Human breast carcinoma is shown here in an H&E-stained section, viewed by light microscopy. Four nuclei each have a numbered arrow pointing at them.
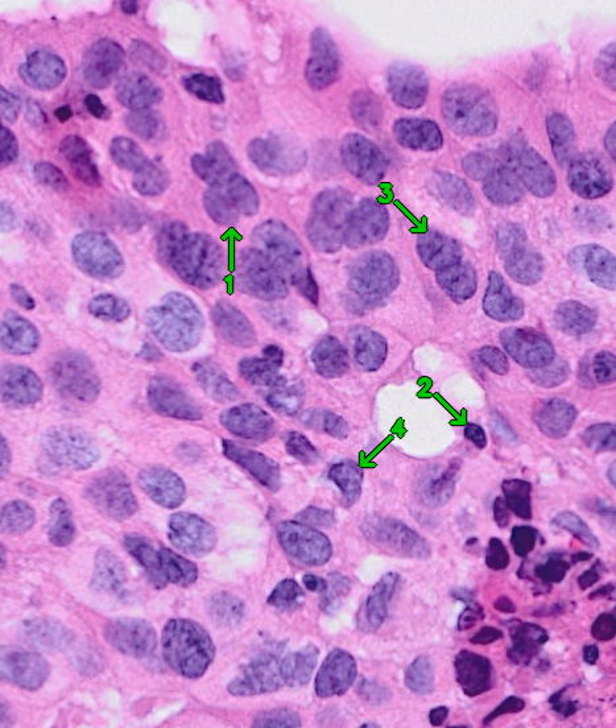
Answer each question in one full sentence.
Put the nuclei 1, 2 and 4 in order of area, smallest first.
Smallest first, the nuclei run 2, 4, 1.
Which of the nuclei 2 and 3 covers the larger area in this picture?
Nucleus 3 is larger, with an area about 2.5 times that of nucleus 2.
